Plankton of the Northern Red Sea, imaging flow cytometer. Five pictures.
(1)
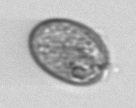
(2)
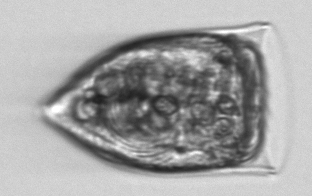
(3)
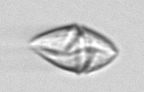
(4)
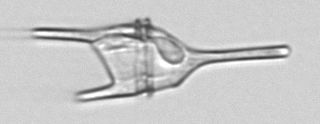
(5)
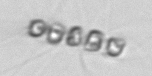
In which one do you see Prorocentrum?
In picture 1.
